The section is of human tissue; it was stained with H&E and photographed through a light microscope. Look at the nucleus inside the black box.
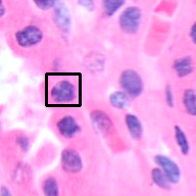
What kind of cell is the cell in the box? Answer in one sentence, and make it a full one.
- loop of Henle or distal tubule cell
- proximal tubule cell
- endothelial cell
As for its identity, the cell in the box is a loop of Henle or distal tubule cell.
